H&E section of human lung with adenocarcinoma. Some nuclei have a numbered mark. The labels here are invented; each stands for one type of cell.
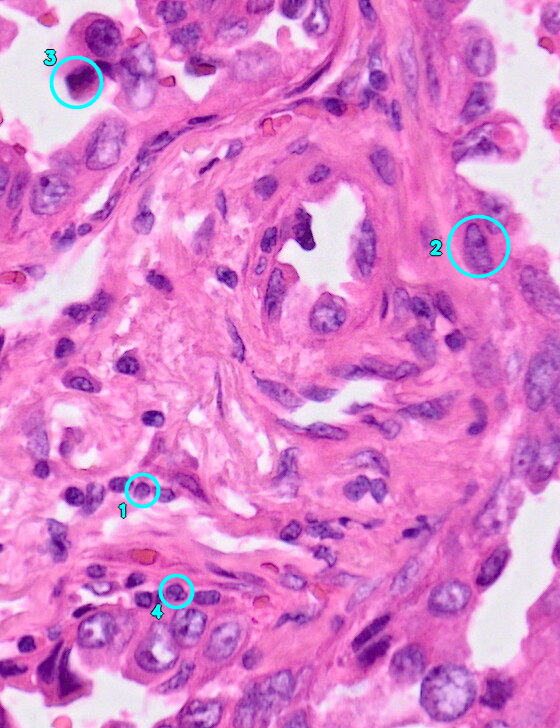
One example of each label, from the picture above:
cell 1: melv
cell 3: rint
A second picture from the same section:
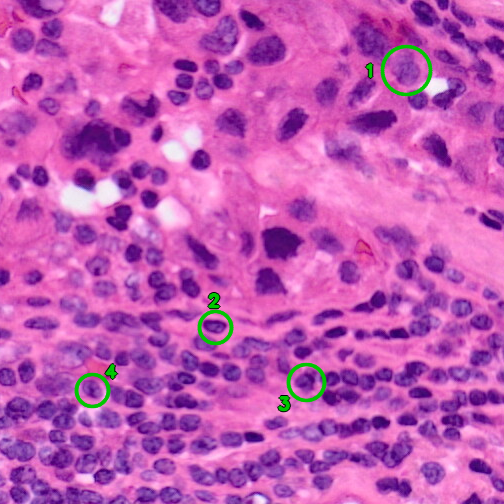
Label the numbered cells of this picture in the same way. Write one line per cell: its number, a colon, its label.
1: rint
2: melv
3: melv
4: melv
